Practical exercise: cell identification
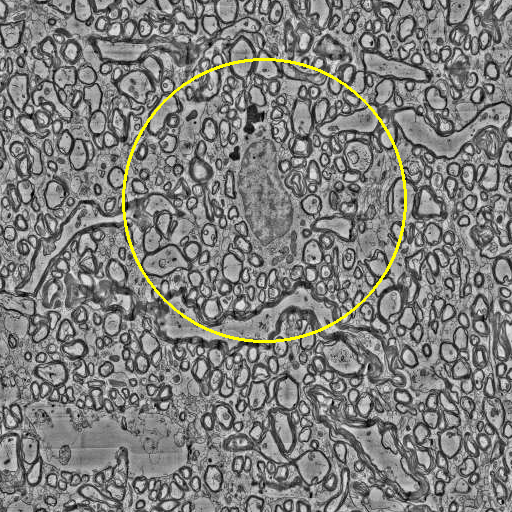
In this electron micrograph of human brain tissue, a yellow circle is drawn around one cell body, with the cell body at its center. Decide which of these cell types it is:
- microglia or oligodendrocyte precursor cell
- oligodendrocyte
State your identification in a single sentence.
The ringed cell is an oligodendrocyte.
